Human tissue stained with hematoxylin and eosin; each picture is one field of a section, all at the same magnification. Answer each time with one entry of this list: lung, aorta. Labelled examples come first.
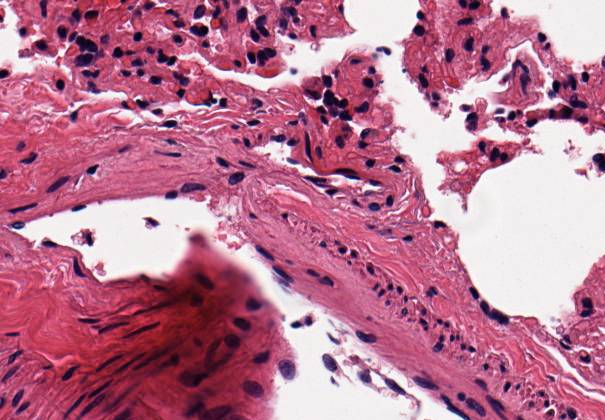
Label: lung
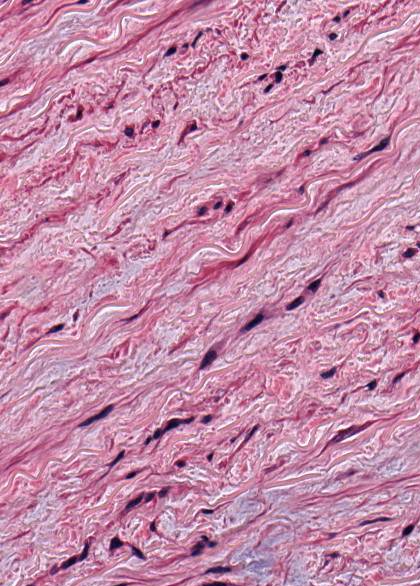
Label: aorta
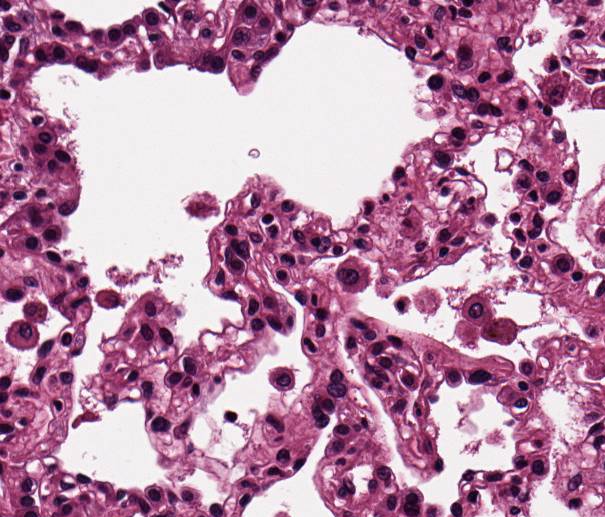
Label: lung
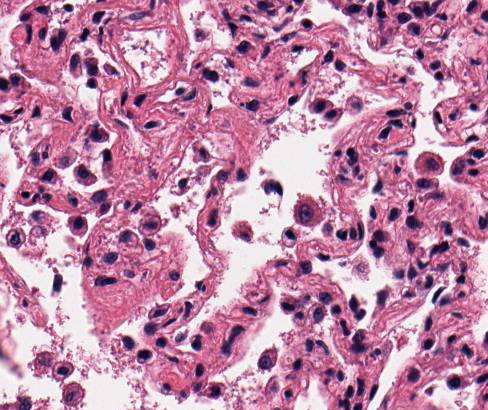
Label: lung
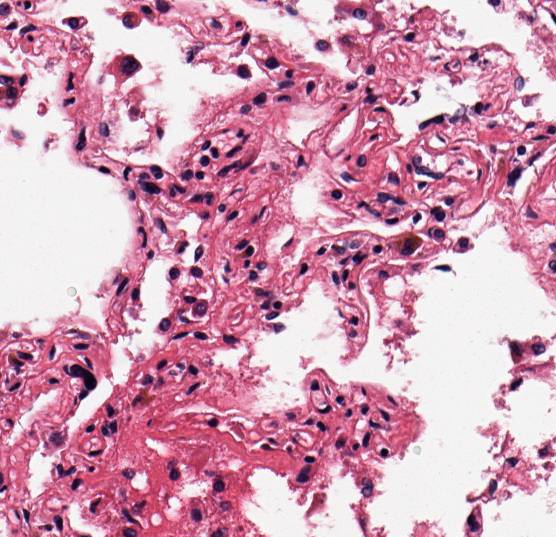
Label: lung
